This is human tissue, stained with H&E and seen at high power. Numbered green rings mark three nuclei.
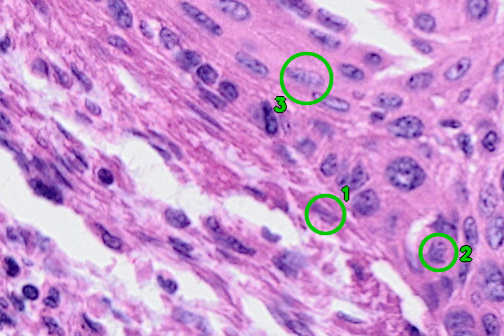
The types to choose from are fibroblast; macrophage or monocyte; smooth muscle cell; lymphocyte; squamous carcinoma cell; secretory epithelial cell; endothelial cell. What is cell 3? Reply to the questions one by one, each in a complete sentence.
In this section, the cell tagged 3 is a squamous carcinoma cell.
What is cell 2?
The numeral 2 marks a squamous carcinoma cell in this section.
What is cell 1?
In this section, the cell tagged 1 is a fibroblast.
